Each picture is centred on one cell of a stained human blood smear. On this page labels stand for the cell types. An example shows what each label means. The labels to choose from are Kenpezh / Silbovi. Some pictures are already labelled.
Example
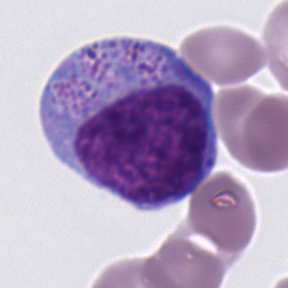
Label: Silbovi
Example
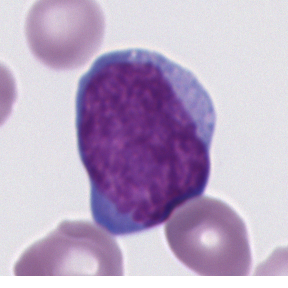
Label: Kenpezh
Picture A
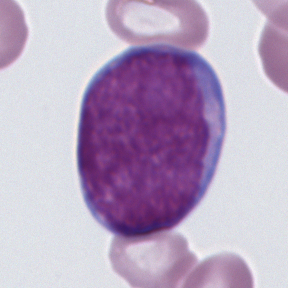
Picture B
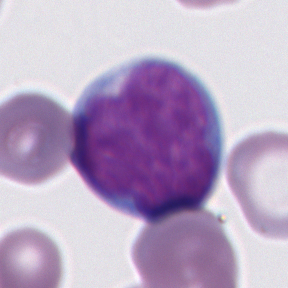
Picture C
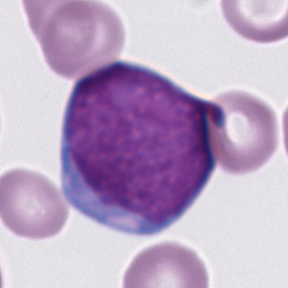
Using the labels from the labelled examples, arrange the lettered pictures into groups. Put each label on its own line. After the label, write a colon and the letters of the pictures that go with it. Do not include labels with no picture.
Kenpezh: A, B, C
